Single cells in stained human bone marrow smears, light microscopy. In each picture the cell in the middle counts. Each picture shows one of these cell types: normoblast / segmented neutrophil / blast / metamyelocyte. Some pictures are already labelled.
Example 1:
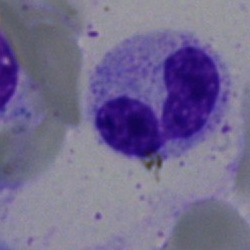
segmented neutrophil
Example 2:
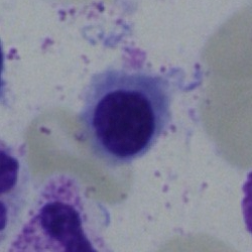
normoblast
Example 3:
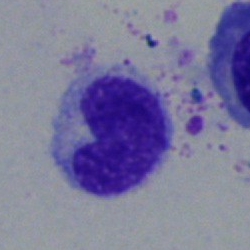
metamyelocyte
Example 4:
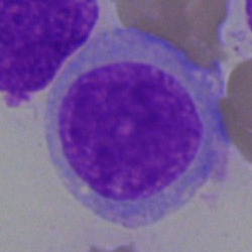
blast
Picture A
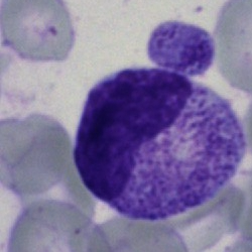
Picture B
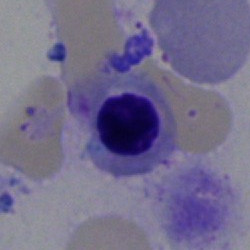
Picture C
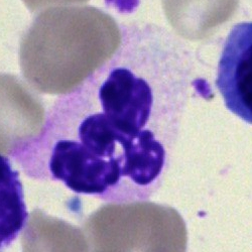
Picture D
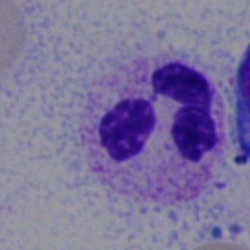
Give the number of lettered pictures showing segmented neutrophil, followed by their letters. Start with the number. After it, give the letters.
2, namely C, D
